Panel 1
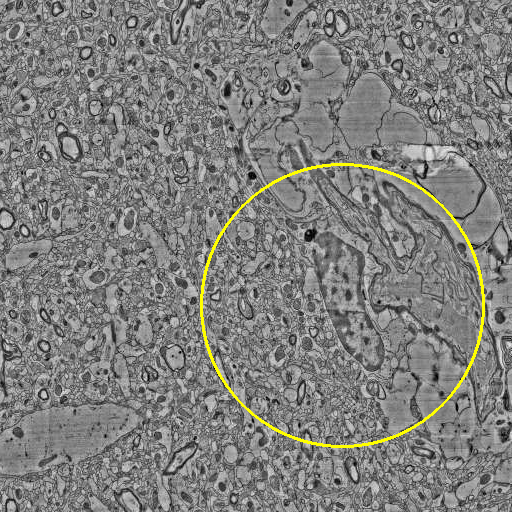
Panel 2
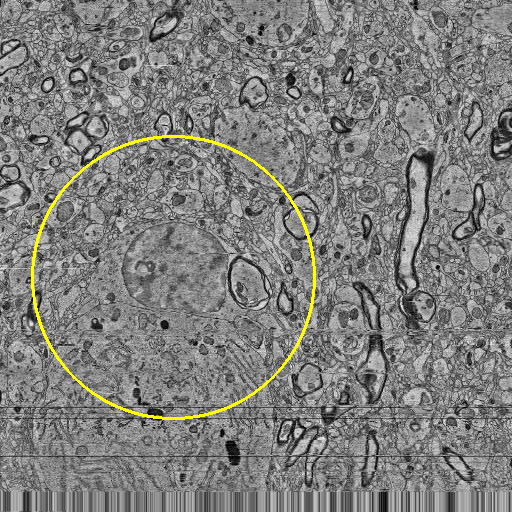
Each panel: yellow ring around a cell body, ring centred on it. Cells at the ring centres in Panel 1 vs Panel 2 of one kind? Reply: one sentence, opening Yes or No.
No, Panel 1 and Panel 2 have cells of two kinds at the ring centres.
